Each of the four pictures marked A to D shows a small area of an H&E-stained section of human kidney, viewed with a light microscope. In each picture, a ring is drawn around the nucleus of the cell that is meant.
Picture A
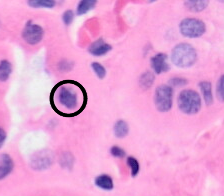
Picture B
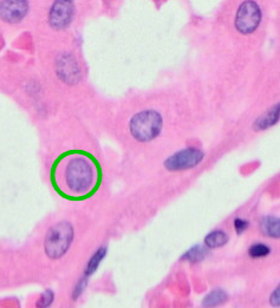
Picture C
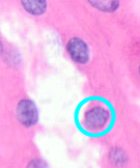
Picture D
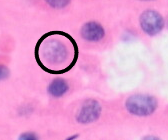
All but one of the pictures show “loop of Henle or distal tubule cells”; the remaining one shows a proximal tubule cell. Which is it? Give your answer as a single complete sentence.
Picture B shows the proximal tubule cell.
